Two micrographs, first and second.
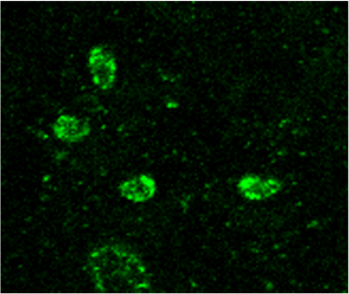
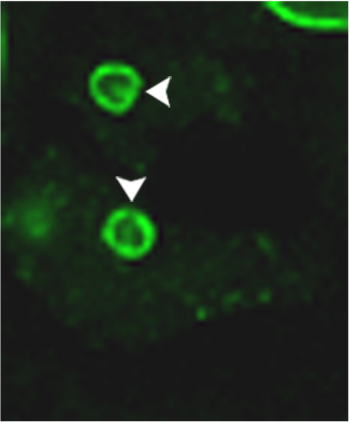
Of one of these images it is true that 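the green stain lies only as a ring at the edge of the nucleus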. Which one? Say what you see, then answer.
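First image: green stain is speckled across the whole area of each nucleus. Second image: green forms thick rings with dark centres.
The second image.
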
